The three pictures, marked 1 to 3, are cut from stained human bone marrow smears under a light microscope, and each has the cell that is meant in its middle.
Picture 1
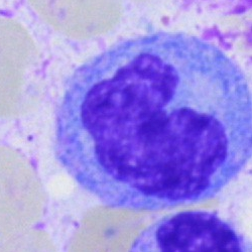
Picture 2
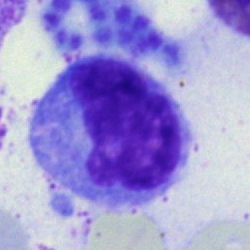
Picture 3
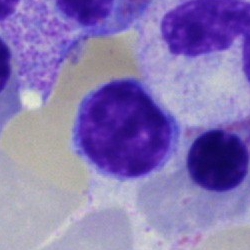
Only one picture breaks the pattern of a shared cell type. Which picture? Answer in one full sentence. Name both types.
All pictures except 3 show monocytes; picture 3 shows a lymphocyte.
